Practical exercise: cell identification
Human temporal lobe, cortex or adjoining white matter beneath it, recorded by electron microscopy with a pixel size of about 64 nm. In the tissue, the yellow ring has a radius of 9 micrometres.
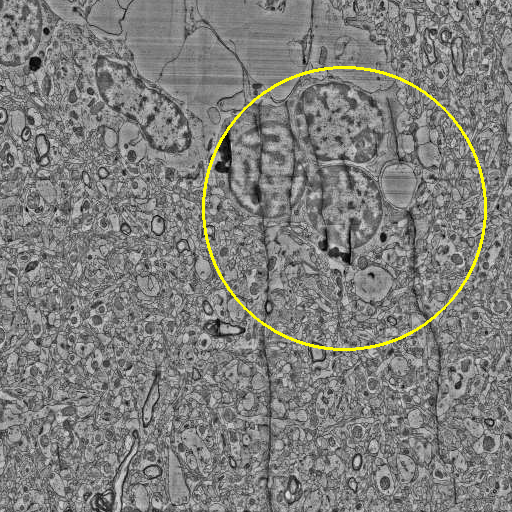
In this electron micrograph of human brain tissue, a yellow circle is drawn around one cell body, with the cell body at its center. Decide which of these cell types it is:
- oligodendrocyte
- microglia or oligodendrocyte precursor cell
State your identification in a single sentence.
The ringed cell is an oligodendrocyte.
